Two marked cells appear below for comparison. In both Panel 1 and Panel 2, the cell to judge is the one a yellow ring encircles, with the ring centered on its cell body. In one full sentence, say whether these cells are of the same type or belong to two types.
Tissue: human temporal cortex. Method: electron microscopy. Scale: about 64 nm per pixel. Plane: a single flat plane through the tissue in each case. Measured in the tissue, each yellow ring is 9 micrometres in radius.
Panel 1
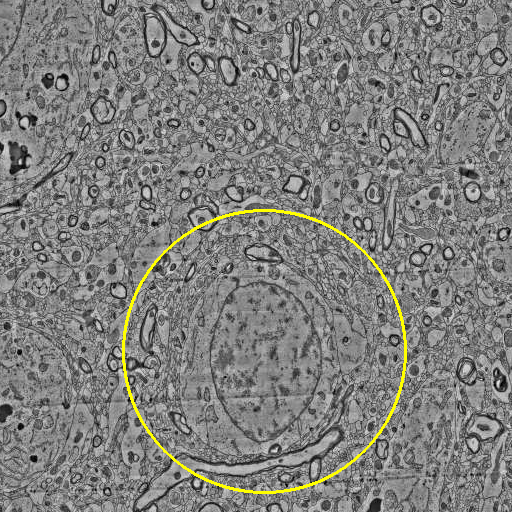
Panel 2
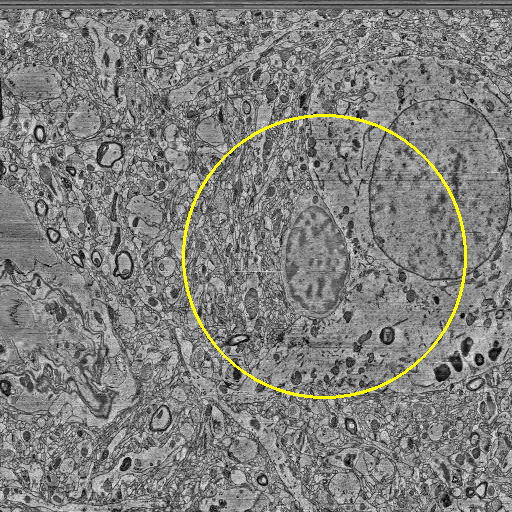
The cell centered in the Panel 1 ring and the one in Panel 2 belong to two types.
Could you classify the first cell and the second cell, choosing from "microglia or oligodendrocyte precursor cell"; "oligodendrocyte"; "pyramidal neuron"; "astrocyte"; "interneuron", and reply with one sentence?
The second cell is an oligodendrocyte, while the first is a pyramidal neuron.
